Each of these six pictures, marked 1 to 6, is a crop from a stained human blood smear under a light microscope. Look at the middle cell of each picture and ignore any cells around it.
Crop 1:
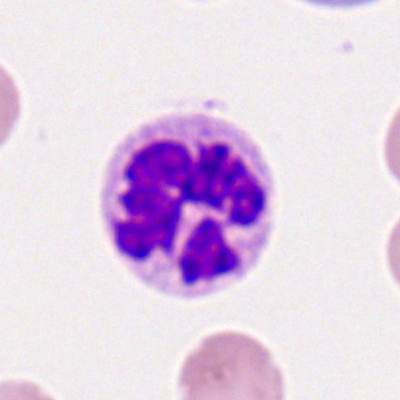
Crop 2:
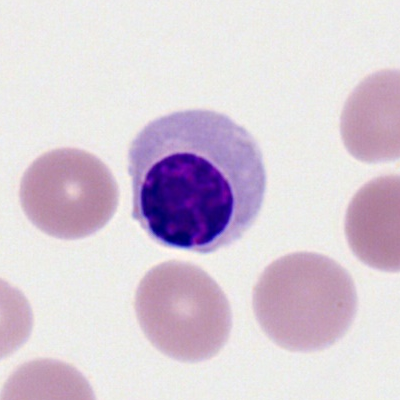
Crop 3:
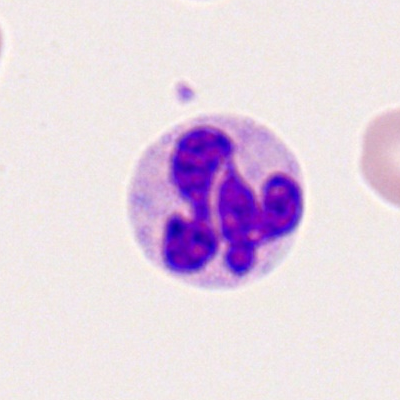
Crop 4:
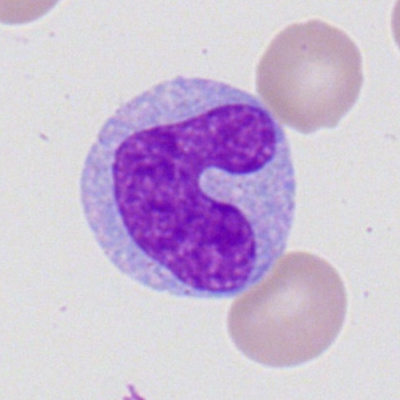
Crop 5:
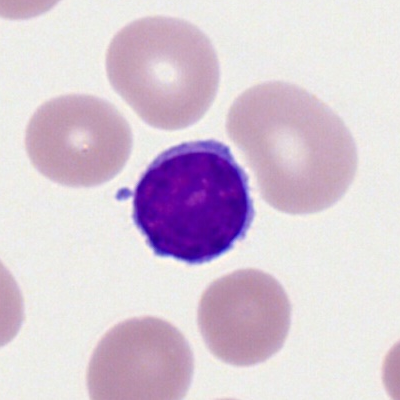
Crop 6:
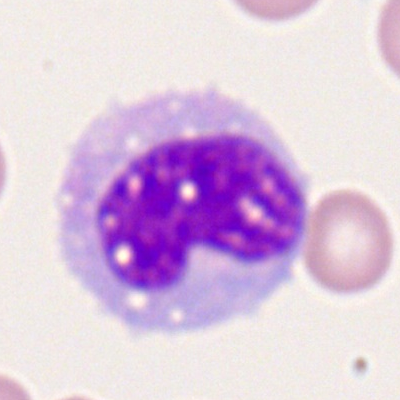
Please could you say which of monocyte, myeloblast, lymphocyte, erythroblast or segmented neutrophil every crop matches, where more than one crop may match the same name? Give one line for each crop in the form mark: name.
1: segmented neutrophil
2: erythroblast
3: segmented neutrophil
4: monocyte
5: lymphocyte
6: monocyte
